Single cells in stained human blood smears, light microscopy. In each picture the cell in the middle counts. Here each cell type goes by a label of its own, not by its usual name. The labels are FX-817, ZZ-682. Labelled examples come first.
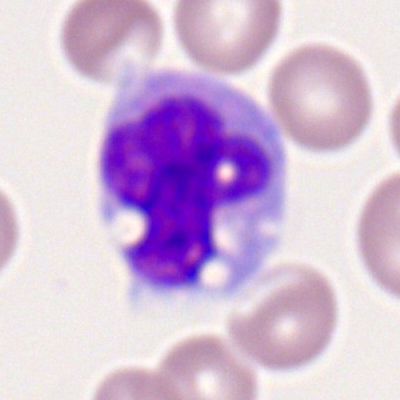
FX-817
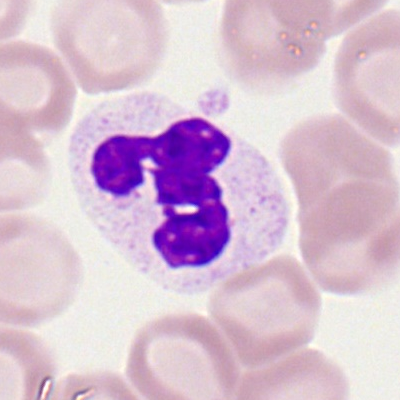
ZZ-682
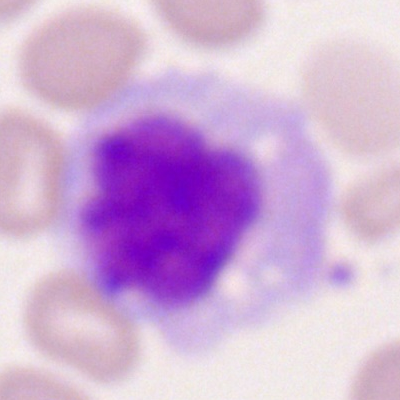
FX-817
